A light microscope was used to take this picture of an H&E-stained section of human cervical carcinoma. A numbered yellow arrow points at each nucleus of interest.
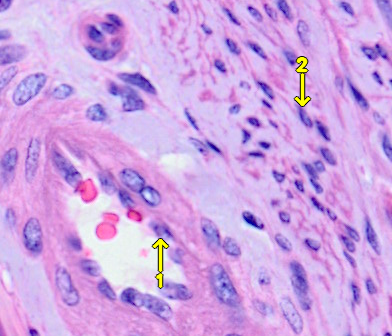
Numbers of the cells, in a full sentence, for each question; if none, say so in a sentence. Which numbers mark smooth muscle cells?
Cell 2 is a smooth muscle cell, and it is the only one.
